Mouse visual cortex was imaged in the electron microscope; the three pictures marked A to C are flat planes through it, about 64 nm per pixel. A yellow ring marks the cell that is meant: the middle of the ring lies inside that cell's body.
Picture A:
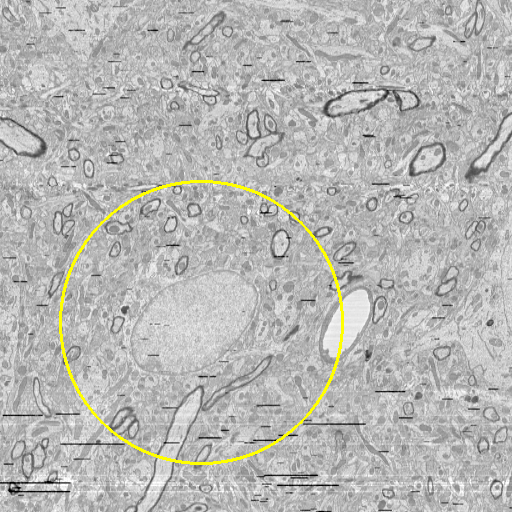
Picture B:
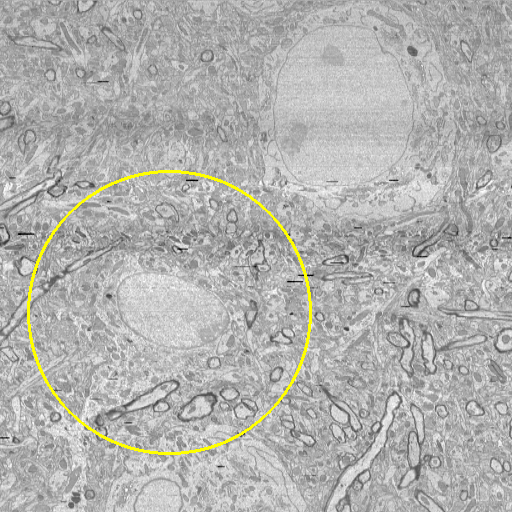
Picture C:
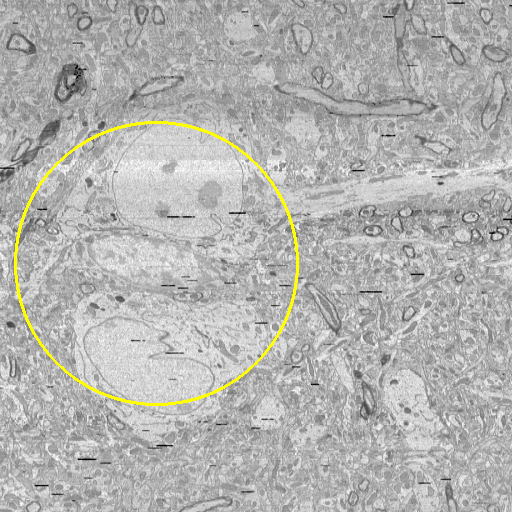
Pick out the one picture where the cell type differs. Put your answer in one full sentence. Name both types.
Picture C differs, because its cell is an oligodendrocyte and the rest are astrocytes.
